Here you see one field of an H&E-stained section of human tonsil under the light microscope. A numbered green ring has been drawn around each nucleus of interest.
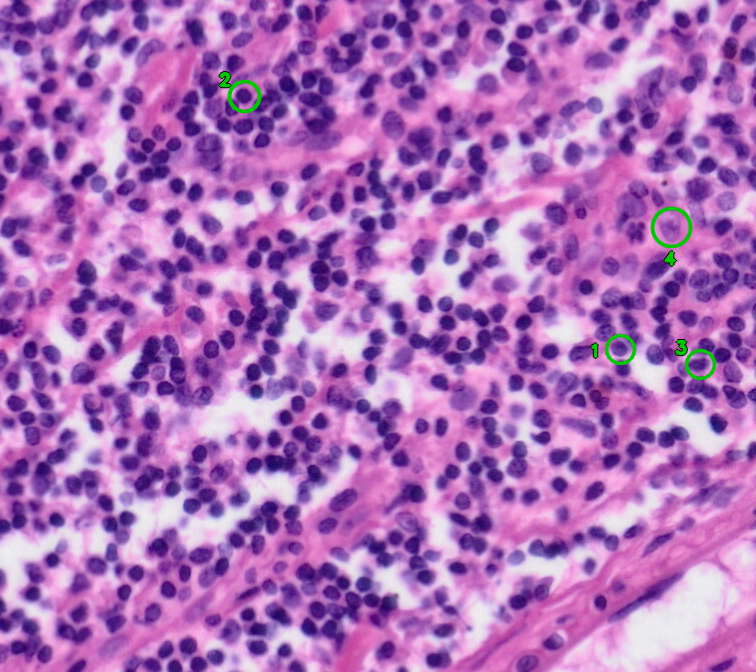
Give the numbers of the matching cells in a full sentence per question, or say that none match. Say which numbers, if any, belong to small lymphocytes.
The cells carrying labels 1, 2 and 3 are small lymphocytes.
